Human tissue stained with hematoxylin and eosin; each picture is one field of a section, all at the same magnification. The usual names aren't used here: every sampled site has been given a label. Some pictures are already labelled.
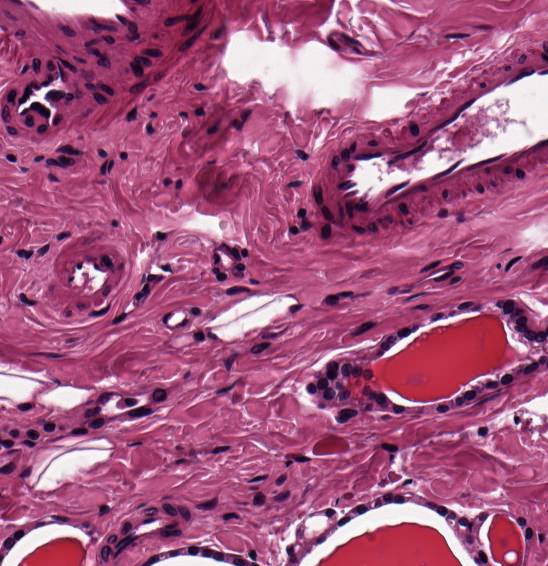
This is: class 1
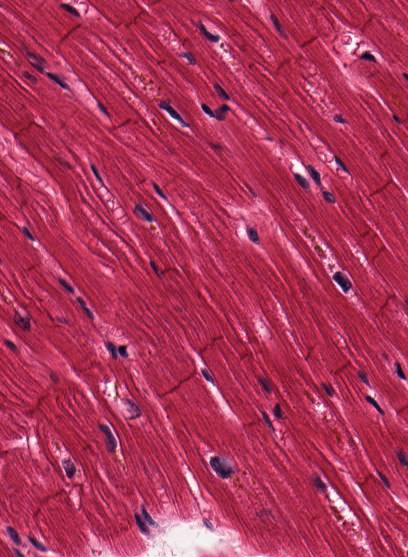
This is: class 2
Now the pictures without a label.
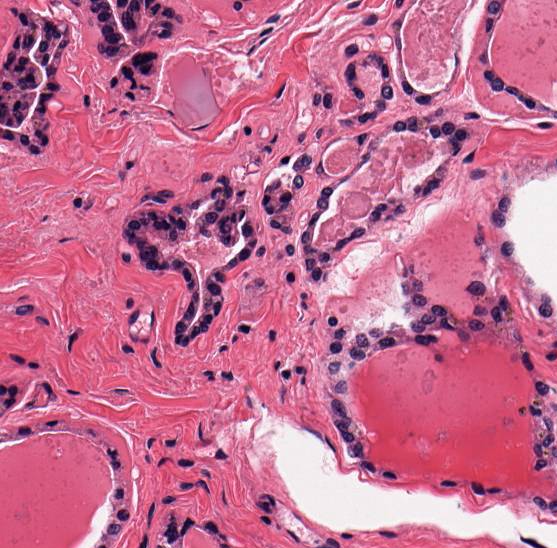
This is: class 1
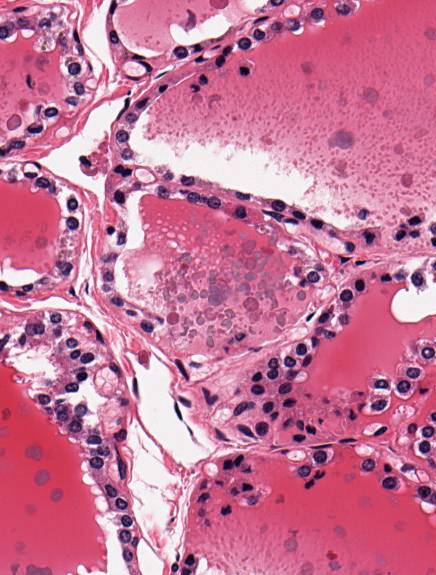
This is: class 1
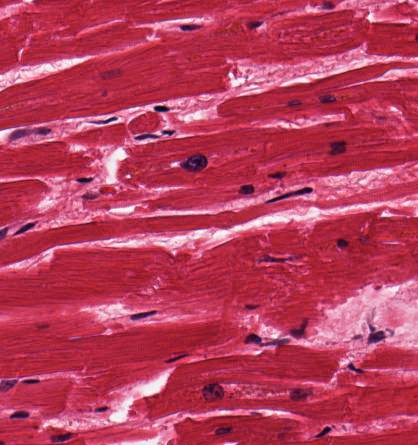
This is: class 2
